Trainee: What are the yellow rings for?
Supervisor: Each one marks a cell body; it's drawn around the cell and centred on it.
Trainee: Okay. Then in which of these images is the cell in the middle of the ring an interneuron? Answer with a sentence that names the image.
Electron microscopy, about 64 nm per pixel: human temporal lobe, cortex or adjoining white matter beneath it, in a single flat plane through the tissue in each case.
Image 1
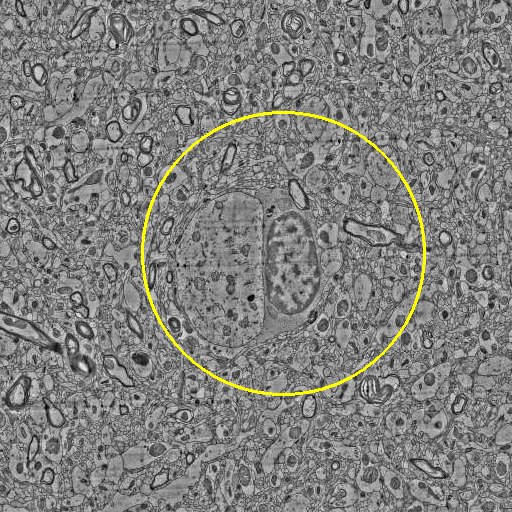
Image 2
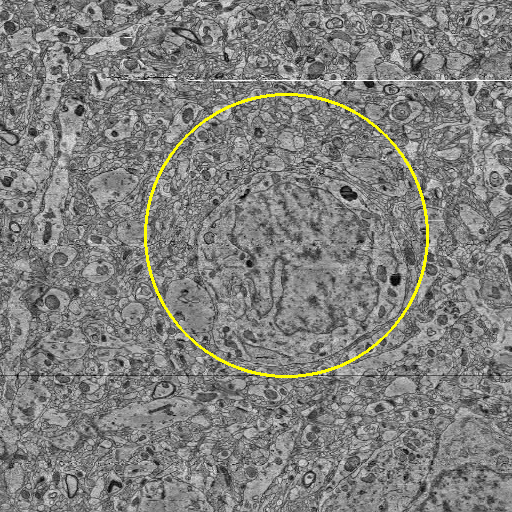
Image 2 has it in the middle of the ring.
